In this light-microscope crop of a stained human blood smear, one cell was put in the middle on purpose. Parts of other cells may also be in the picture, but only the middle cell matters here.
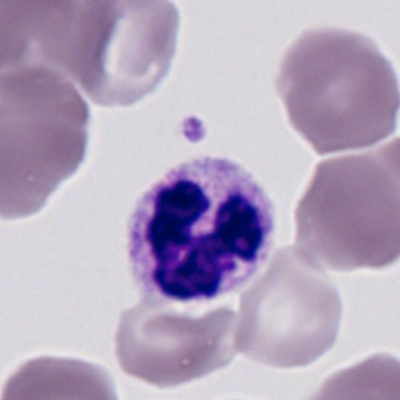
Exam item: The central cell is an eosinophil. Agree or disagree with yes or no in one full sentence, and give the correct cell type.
No, that would be a segmented neutrophil, not an eosinophil, for the cell at the centre.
